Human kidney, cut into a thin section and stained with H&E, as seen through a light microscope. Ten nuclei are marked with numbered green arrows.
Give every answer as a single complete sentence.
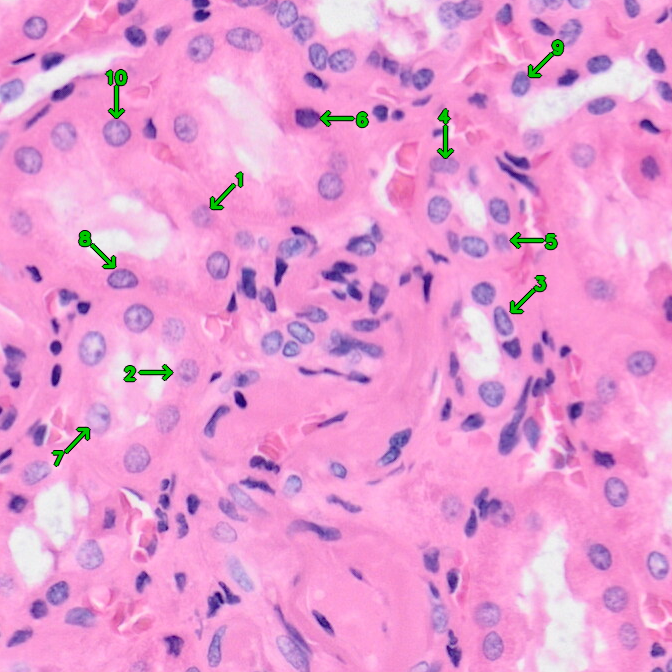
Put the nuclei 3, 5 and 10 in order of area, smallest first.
From smallest to largest, the order is 5, 3, 10.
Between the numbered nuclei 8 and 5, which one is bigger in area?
Nucleus 8 is the larger one, covering about 3 times the area of nucleus 5.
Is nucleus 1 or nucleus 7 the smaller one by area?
Nucleus 1 is the smaller one; nucleus 7 covers about 1.5 times its area.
